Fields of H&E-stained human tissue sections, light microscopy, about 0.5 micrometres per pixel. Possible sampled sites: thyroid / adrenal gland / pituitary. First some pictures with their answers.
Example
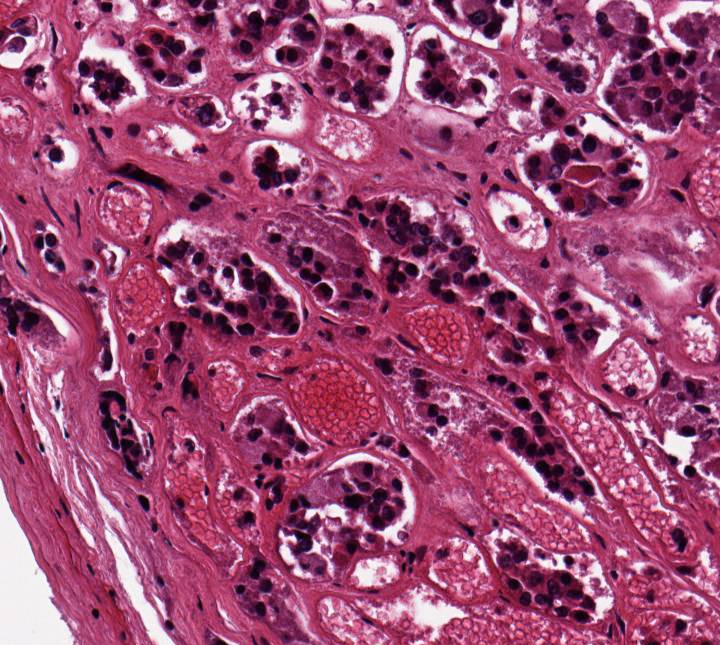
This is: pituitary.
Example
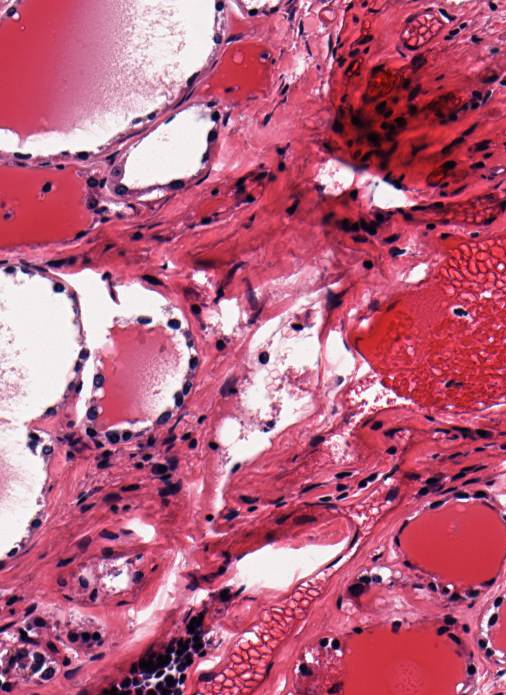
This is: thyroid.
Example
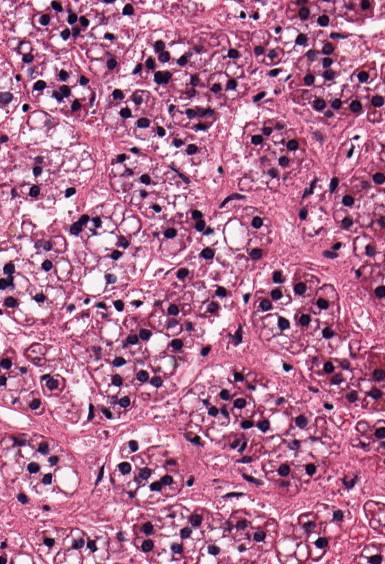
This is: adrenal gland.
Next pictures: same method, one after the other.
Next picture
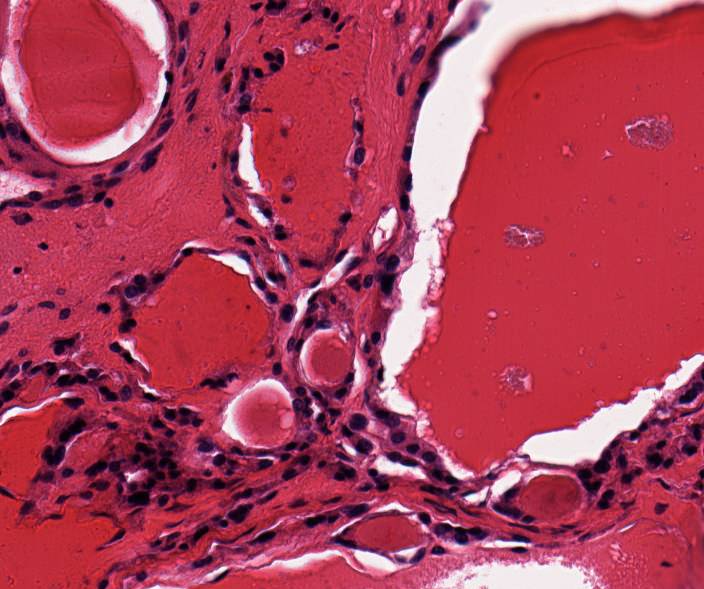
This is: thyroid.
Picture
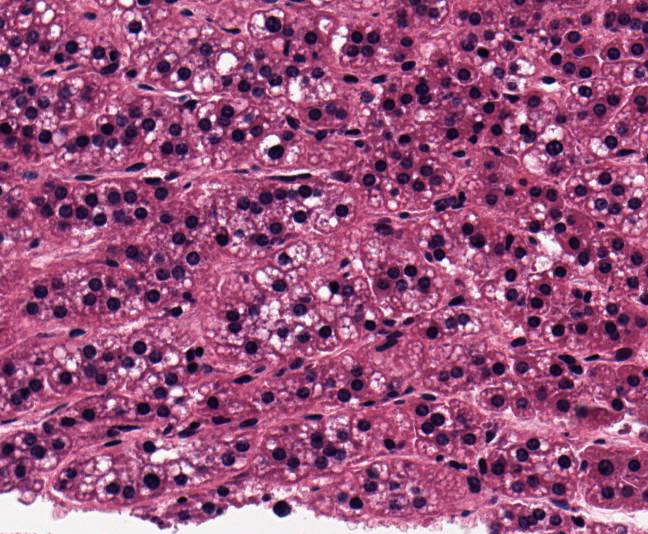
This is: adrenal gland.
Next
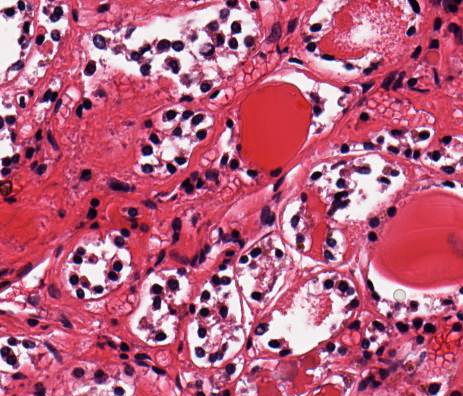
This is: thyroid.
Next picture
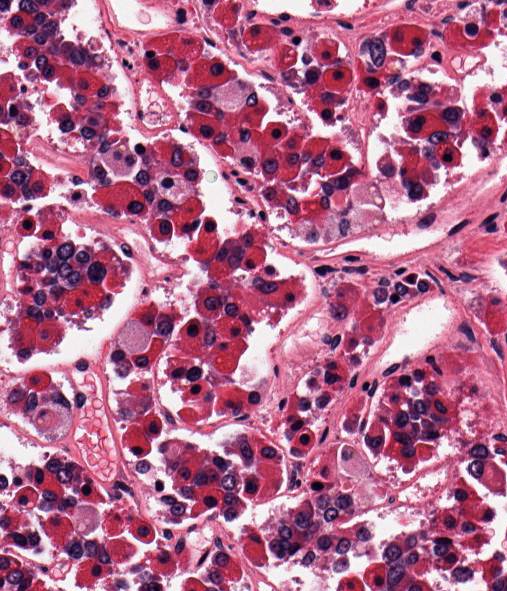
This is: pituitary.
